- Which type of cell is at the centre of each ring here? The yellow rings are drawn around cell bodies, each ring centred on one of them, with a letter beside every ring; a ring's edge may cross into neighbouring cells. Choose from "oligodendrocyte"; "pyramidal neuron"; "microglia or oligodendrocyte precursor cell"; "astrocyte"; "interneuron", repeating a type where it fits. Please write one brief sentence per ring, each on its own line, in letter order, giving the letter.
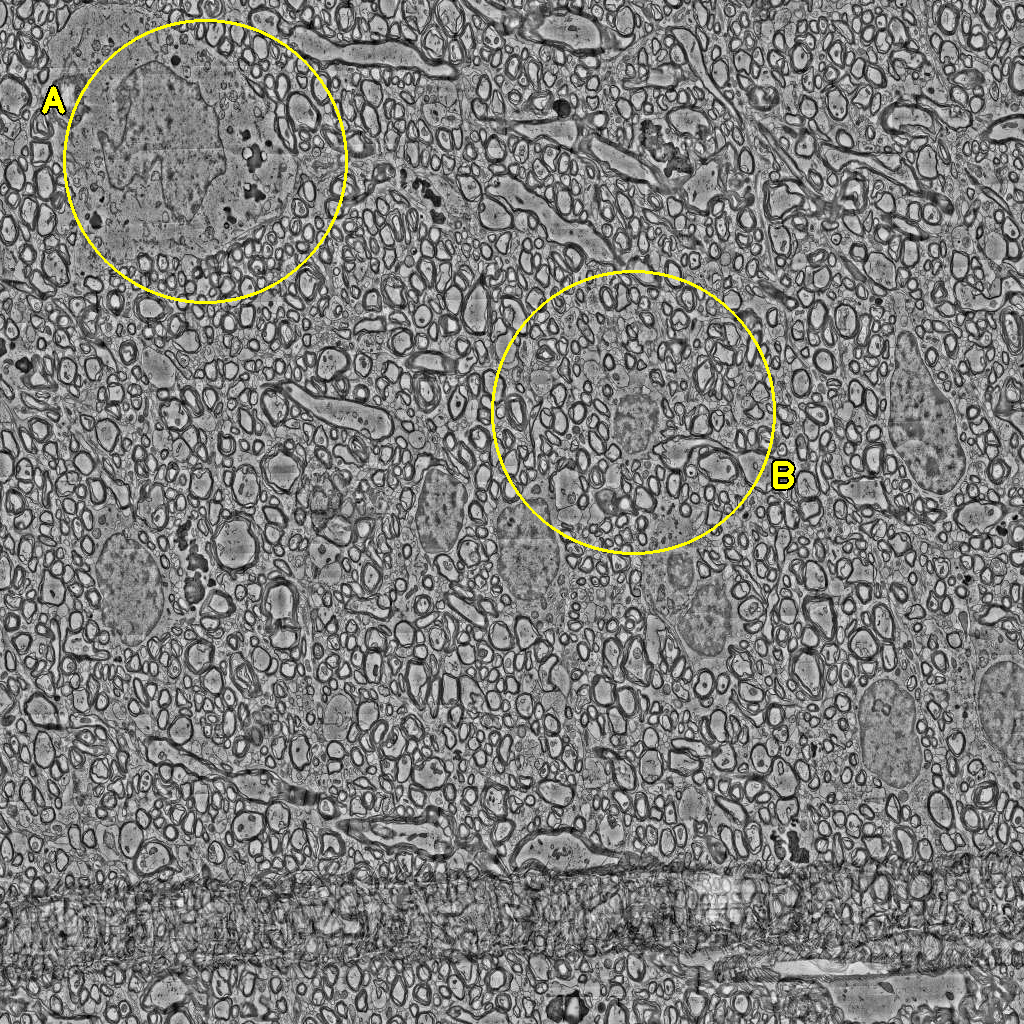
Ring A is centred over a pyramidal neuron.
Ring B is centred over an oligodendrocyte.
